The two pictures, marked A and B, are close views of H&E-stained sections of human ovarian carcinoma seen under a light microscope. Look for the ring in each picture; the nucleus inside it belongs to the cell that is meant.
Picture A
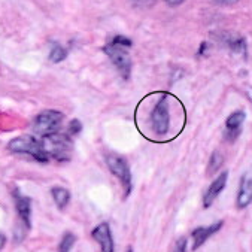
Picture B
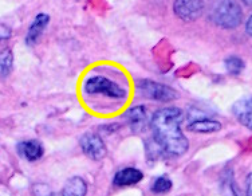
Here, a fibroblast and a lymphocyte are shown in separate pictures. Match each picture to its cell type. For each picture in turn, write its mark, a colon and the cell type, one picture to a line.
A: fibroblast
B: lymphocyte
